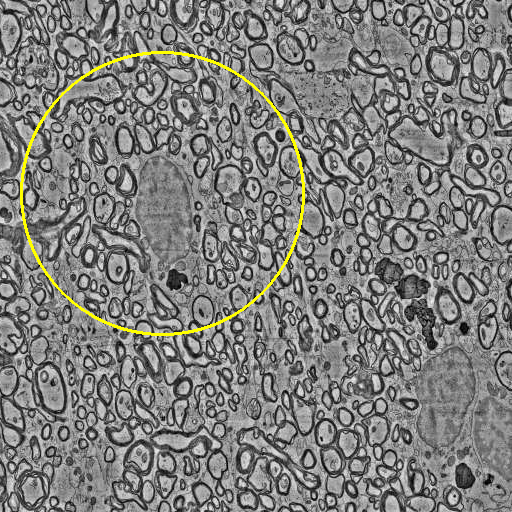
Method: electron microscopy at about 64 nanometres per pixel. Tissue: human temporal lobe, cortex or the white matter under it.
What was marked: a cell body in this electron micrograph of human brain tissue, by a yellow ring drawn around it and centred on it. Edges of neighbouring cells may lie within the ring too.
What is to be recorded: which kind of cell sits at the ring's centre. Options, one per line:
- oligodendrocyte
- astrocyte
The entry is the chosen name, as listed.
oligodendrocyte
